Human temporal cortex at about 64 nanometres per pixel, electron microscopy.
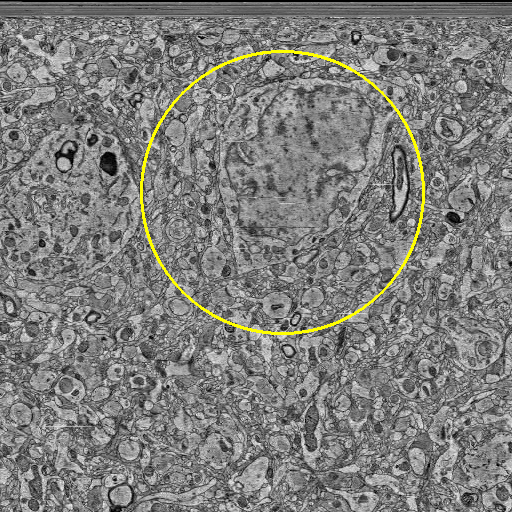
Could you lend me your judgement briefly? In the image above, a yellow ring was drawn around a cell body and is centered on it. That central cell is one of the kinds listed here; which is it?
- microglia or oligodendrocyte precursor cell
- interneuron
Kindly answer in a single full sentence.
Going by the list, an interneuron is the kind at the ring's center in the picture.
